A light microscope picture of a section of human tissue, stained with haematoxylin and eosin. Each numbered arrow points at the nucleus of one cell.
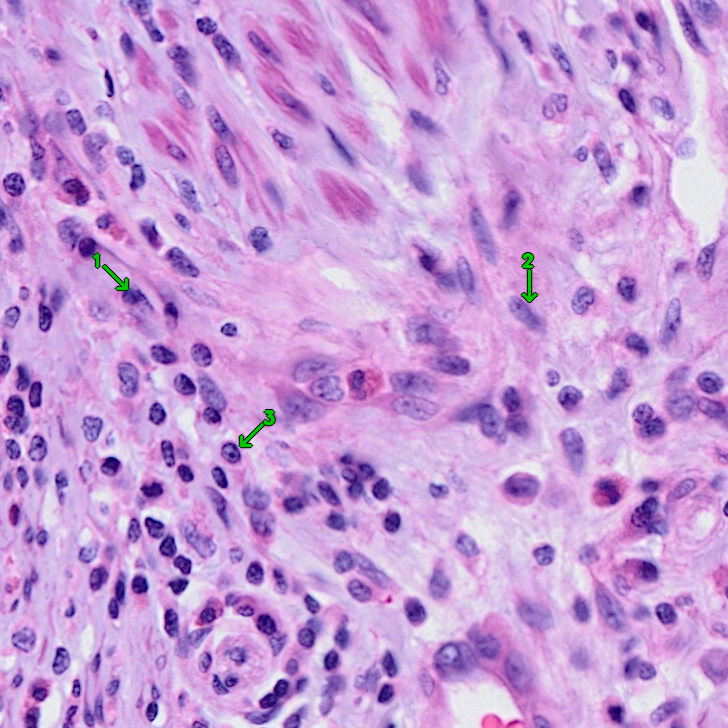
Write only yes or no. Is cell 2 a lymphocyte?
no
